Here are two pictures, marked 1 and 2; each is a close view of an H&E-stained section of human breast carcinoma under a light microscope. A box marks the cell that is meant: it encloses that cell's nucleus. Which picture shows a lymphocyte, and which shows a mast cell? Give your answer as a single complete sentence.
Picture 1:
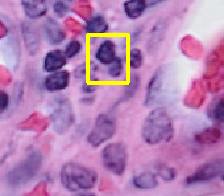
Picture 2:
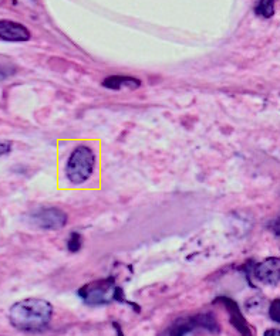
Picture 2 shows a mast cell, while picture 1 shows a lymphocyte.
